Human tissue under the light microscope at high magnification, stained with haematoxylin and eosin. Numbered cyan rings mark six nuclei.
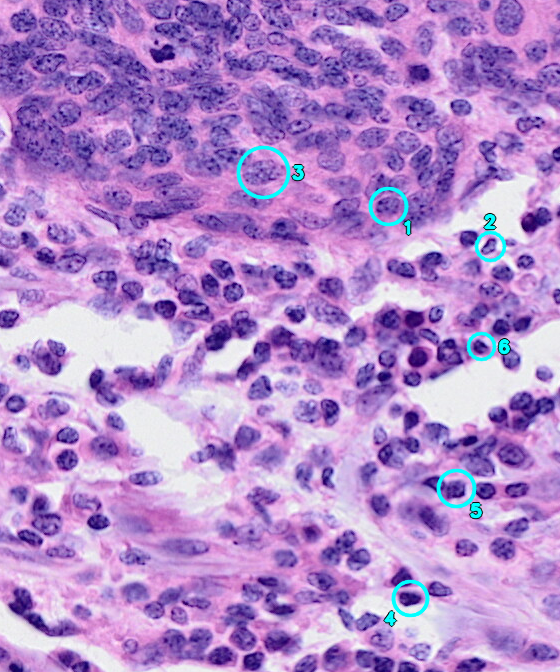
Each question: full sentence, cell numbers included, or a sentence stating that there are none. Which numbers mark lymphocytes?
Each of the cells numbered 2, 4, 5 and 6 is among the lymphocytes.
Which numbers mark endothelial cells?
The numbered cells, every one of them, are not endothelial cells.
